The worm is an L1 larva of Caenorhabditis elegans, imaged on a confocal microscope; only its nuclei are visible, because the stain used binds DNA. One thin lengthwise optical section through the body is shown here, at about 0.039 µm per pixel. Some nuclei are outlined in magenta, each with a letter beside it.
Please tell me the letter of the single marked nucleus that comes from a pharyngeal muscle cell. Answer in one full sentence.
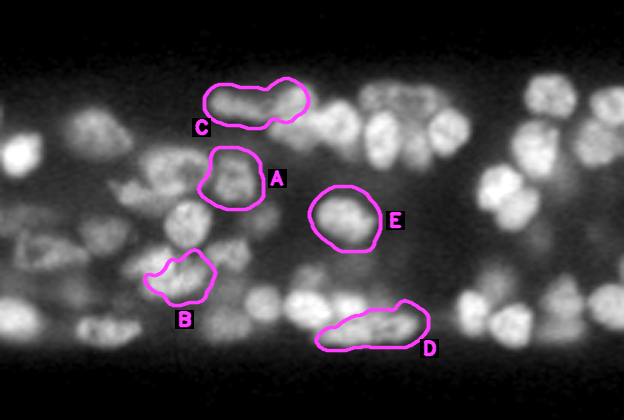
A is the nucleus of a pharyngeal muscle cell.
